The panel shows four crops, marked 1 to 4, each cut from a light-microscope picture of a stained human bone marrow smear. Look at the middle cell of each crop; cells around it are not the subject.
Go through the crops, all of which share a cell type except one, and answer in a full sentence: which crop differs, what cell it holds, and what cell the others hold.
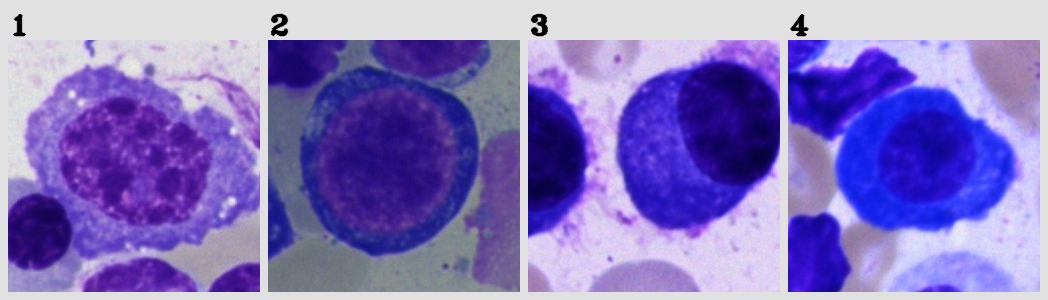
Crop 2 breaks the pattern with a proerythroblast; all the others show plasma cells.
